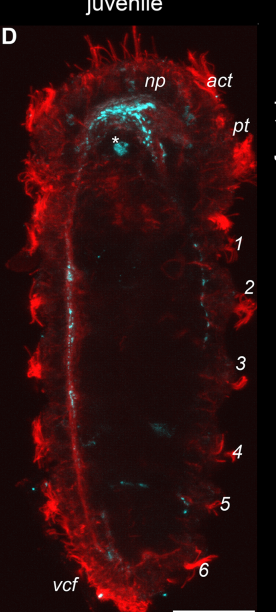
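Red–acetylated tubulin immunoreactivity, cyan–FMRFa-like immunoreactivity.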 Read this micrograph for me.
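Short red bundles of cilia stick out from the body surface in repeated bands along both sides, with a dense ciliated area at the front end and at the rear end. In the head, a curved band of fine cyan fibres runs across the brain neuropile, which lies beneath the anterior ciliary bands. Just below this band sits a single small, rounded cyan cell body, set apart from the neuropile and marked by an asterisk. Thin beaded cyan lines run lengthwise down both sides of the body from the head toward the rear, with a few scattered cyan dots along them.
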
